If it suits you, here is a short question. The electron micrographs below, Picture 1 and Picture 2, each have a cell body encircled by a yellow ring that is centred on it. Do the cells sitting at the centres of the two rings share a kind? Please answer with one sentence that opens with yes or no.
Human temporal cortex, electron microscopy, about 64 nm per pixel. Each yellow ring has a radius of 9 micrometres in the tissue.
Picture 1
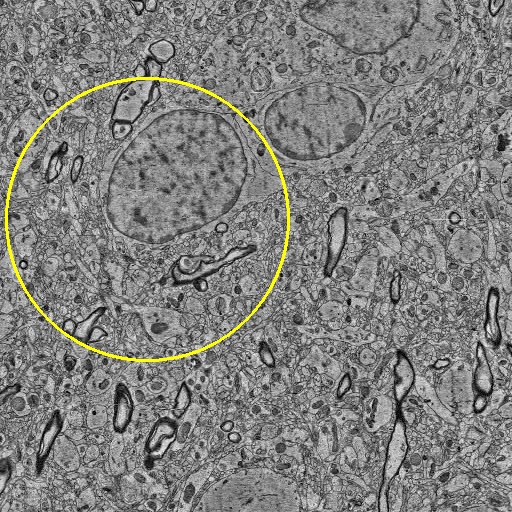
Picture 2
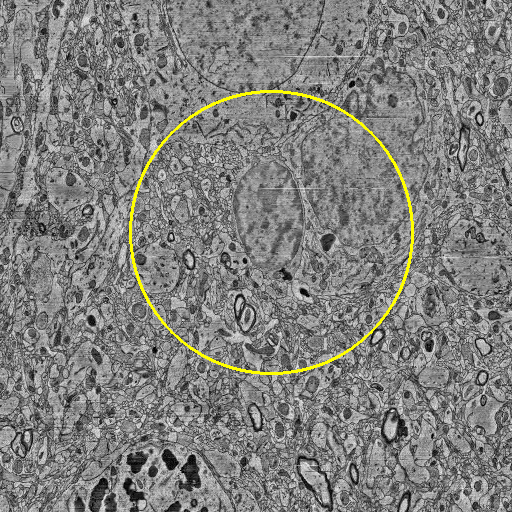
No, the two cells sitting at the ring centres fall into two kinds.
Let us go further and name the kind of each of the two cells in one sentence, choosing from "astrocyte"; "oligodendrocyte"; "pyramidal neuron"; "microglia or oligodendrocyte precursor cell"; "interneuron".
The ring of the first picture is on a microglial cell or oligodendrocyte precursor cell, the ring of the second on an oligodendrocyte.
